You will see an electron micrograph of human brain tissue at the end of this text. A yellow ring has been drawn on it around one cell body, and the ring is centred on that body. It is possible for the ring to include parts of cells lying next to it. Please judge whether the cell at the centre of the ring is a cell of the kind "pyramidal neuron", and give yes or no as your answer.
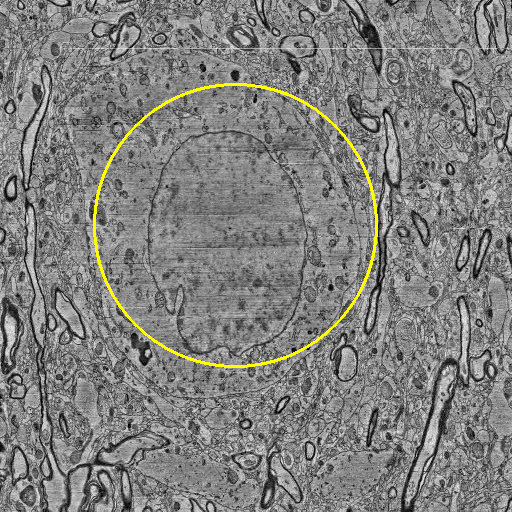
yes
